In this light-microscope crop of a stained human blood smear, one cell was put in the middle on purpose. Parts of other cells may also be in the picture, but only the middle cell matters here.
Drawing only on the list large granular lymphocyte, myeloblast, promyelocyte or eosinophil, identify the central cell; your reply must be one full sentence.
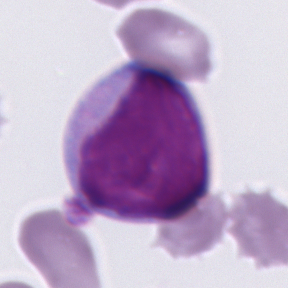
Looking at the middle of the crop, the cell there is a myeloblast.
